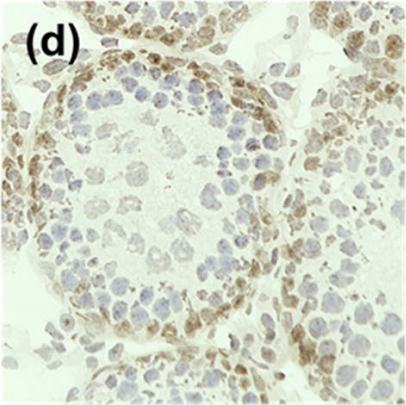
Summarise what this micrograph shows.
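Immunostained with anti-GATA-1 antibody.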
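A large round seminiferous tubule cut in cross-section occupies the middle, with parts of neighbouring tubules at the edges. Brown-stained cells with elongated or oval nuclei line the outer margin of the tubule in a ring a cell or two deep. Inward from this ring lie several layers of round cells with blue nuclei, unstained, becoming looser toward a pale, open centre where scattered cells and faint material lie. Neighbouring tubules show the same brown rim at their edges, separated by narrow gaps of interstitial tissue.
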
